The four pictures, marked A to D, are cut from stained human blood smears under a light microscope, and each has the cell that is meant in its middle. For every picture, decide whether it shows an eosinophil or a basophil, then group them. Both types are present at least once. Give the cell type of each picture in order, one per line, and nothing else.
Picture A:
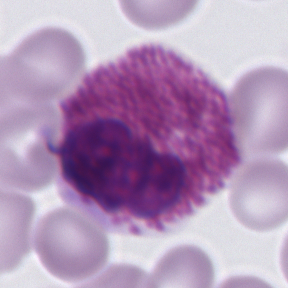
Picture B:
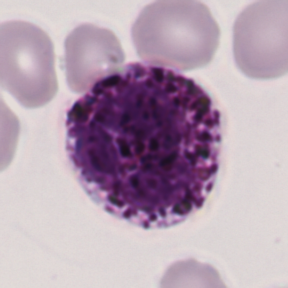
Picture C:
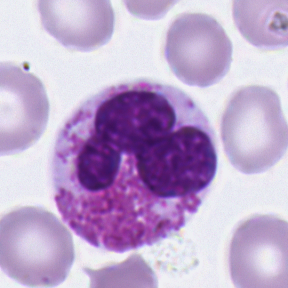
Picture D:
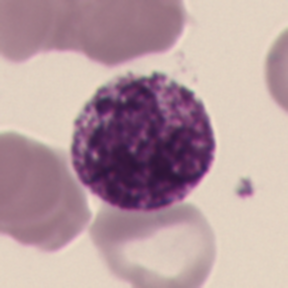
eosinophil
basophil
eosinophil
basophil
